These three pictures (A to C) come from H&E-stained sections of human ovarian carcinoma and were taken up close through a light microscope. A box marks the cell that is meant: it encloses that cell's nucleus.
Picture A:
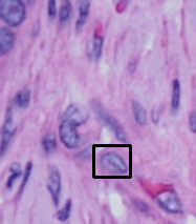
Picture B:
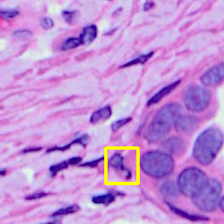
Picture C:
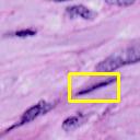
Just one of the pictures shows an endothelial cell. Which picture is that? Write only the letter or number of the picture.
A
